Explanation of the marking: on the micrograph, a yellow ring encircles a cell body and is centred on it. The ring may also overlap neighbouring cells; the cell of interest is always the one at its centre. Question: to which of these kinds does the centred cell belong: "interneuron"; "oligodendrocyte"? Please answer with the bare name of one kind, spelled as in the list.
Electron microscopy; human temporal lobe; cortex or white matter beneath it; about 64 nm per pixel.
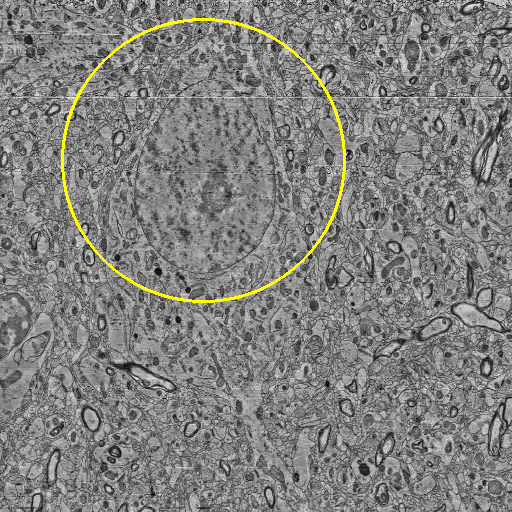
interneuron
